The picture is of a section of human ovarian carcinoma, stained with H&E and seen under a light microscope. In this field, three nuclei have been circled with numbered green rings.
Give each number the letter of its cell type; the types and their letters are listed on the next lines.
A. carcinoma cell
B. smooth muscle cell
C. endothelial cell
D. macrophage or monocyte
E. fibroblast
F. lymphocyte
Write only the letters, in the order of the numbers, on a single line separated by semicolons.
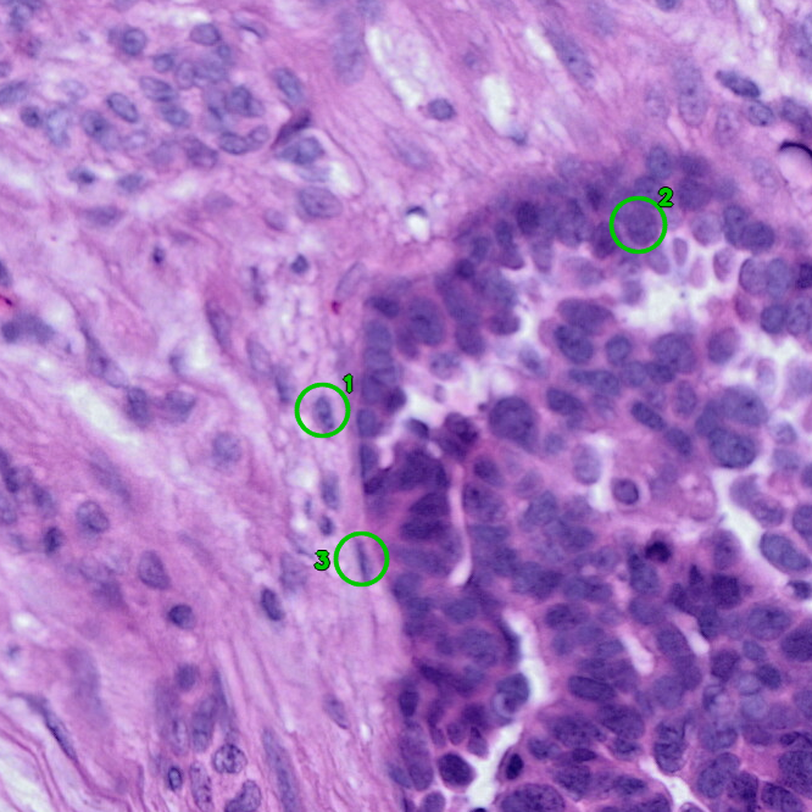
D; A; D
